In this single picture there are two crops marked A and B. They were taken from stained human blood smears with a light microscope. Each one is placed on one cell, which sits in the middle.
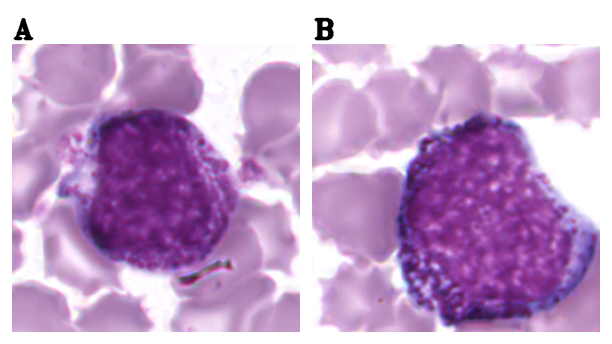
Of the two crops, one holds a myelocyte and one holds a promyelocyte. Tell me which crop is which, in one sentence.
Displayed in crop A is a myelocyte, while crop B displays a promyelocyte.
